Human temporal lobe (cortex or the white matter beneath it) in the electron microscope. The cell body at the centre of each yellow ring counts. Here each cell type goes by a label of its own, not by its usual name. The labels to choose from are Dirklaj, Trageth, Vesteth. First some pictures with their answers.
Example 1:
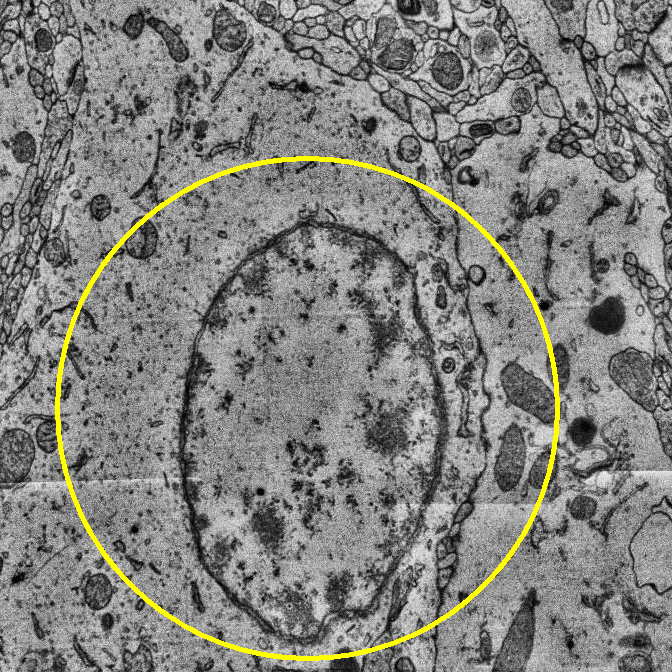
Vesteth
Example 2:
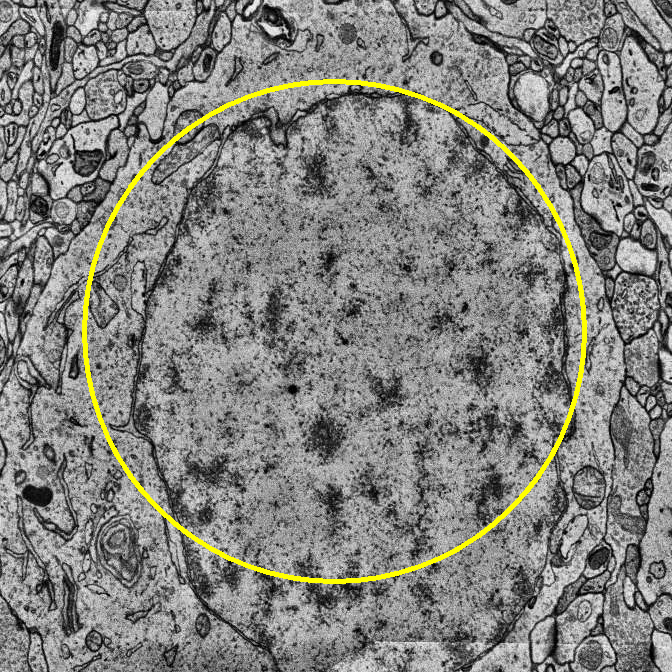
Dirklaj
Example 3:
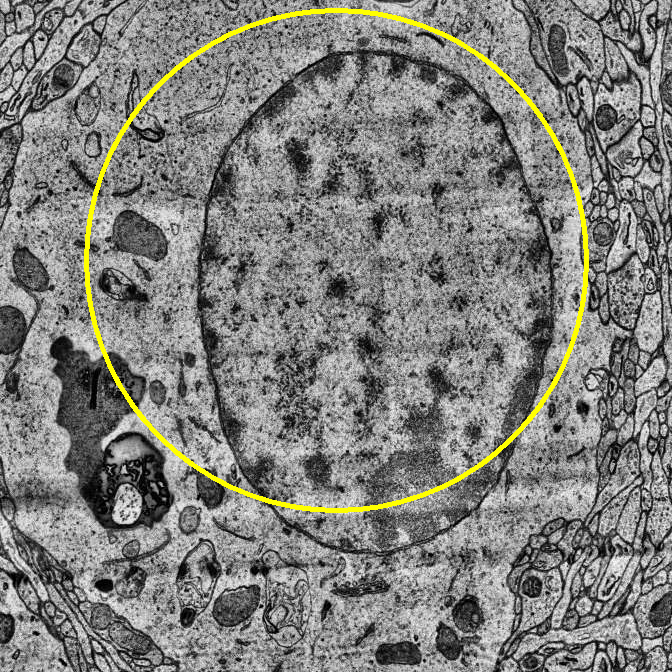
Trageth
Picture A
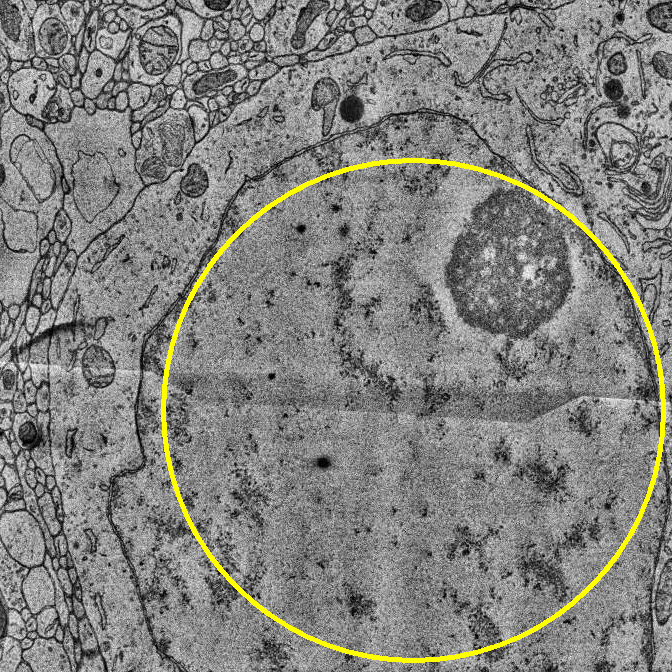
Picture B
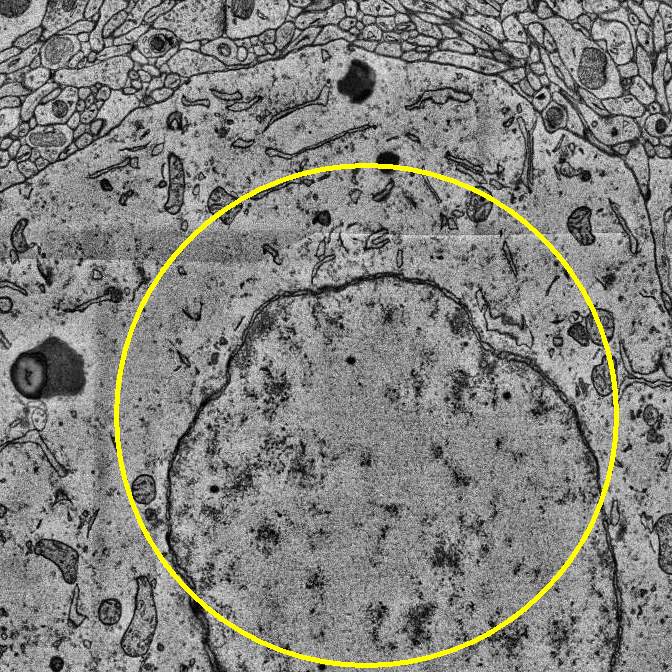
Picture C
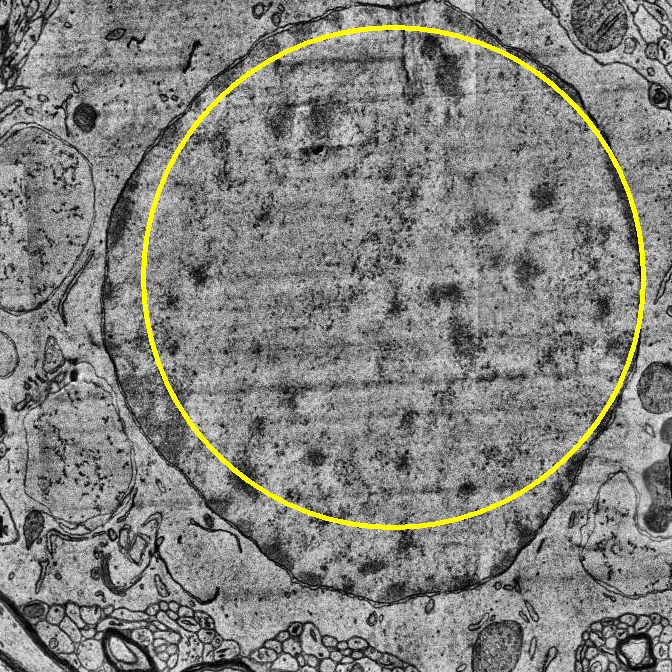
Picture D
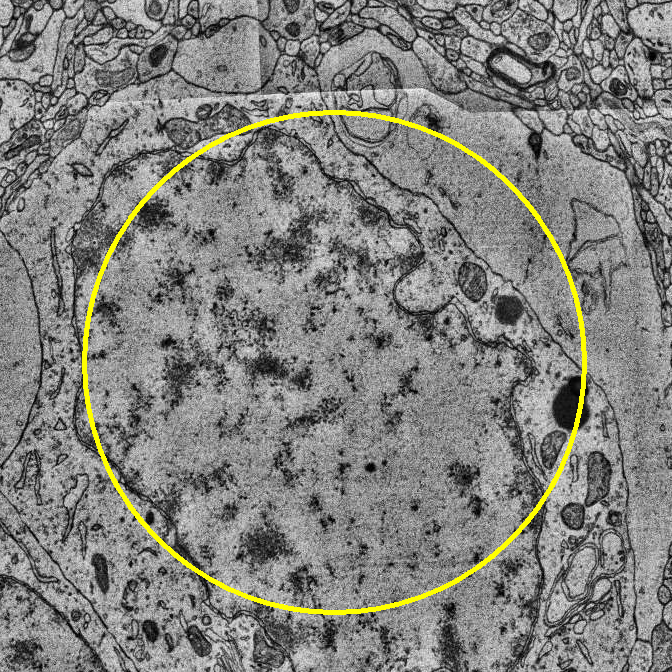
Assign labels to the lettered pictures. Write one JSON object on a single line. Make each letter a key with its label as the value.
{"A": "Vesteth", "B": "Vesteth", "C": "Trageth", "D": "Dirklaj"}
